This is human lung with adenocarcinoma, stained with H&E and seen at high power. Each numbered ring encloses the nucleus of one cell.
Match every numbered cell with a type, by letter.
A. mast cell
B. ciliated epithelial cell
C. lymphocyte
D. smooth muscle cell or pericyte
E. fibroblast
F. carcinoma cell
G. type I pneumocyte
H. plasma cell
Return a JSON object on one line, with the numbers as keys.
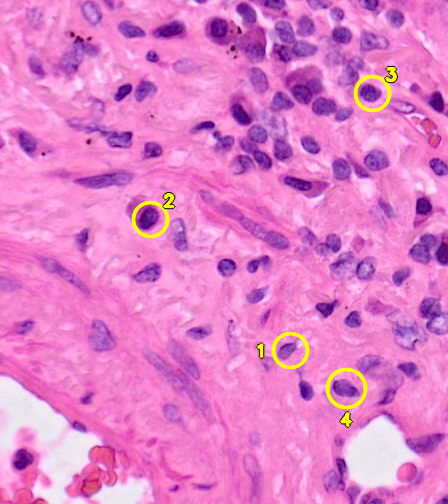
{"1": "C", "2": "H", "3": "C", "4": "C"}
